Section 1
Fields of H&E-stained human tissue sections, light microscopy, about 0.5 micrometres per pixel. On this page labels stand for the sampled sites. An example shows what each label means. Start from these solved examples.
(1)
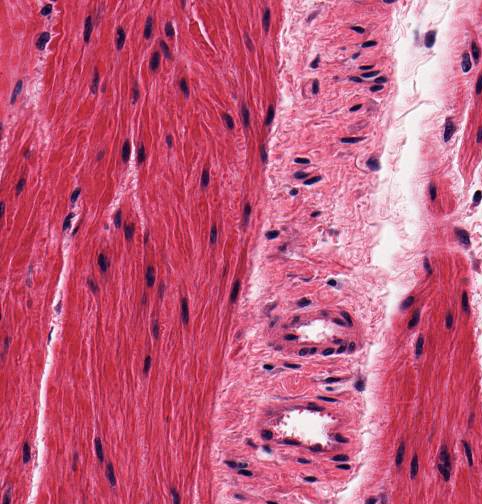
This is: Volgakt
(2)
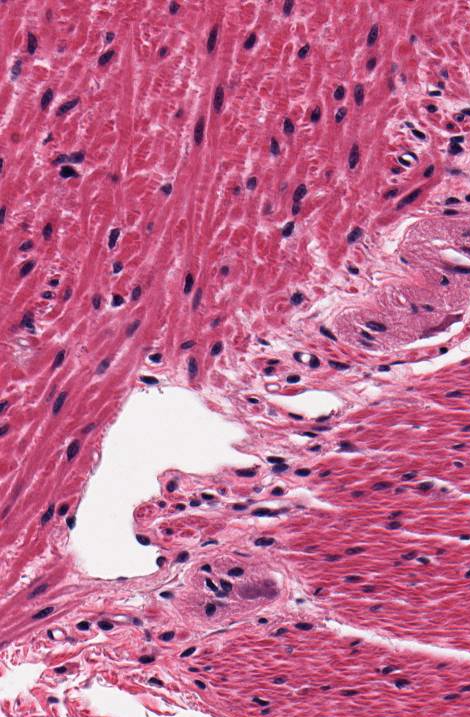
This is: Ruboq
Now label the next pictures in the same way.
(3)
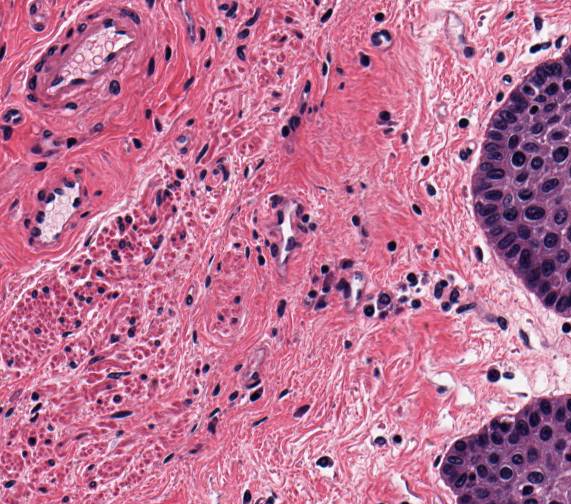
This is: Volgakt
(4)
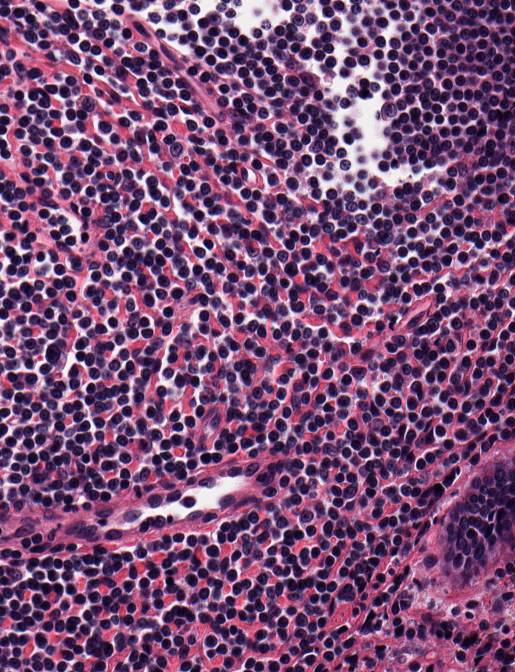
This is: Ruboq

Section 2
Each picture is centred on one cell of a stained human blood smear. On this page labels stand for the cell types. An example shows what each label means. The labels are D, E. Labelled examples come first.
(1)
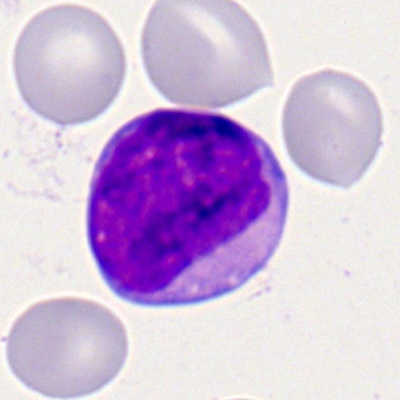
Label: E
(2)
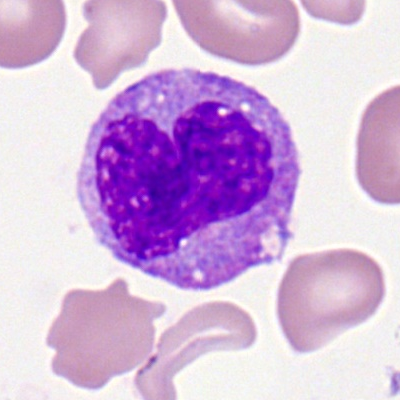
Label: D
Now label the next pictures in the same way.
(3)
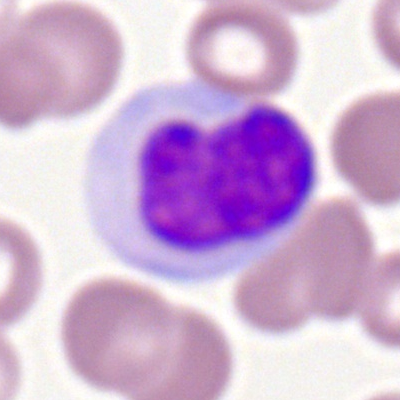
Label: D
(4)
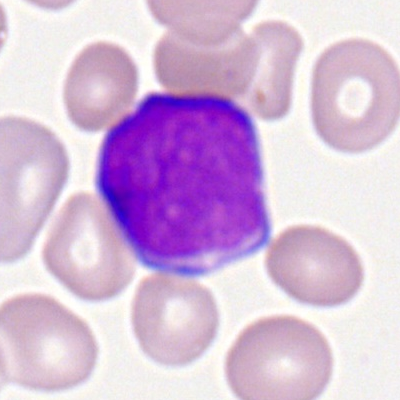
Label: E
